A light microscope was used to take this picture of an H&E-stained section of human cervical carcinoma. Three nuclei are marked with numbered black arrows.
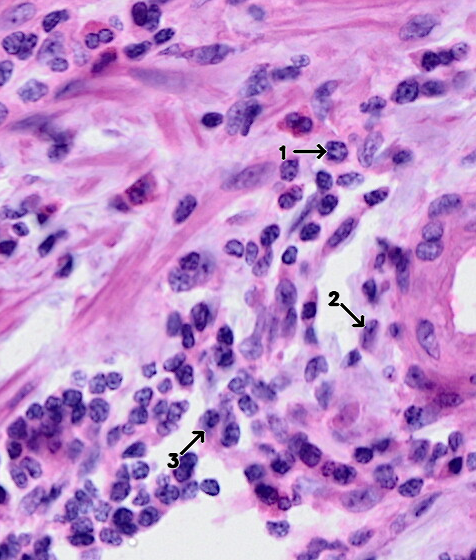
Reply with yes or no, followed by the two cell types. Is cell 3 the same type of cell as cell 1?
Yes: cells 3 and 1 are both lymphocytes.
